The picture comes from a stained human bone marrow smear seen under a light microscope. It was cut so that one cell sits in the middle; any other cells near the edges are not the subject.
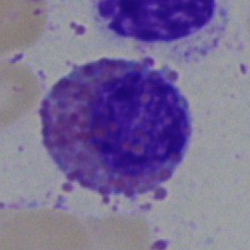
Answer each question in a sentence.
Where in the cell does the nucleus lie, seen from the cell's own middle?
The nucleus is pushed toward the right of the cell.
